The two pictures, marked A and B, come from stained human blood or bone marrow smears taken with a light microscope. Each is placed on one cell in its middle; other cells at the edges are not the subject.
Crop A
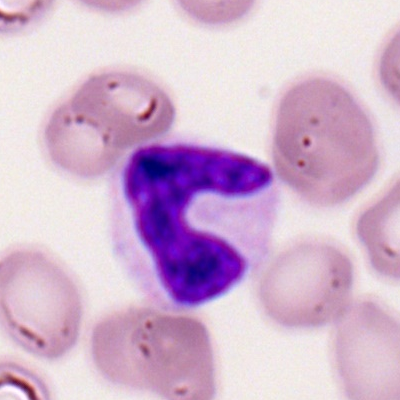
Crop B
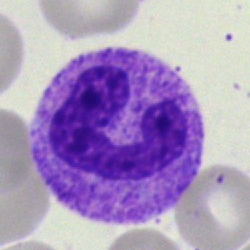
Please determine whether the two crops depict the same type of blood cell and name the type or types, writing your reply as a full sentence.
Yes, the cells in both crops are band neutrophils.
